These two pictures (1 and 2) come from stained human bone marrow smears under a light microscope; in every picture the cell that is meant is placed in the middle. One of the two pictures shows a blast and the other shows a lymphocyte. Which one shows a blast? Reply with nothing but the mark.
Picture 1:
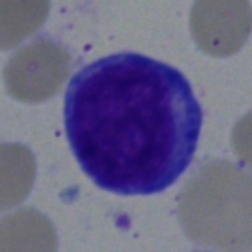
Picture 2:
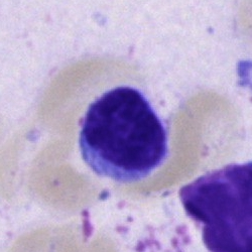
1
